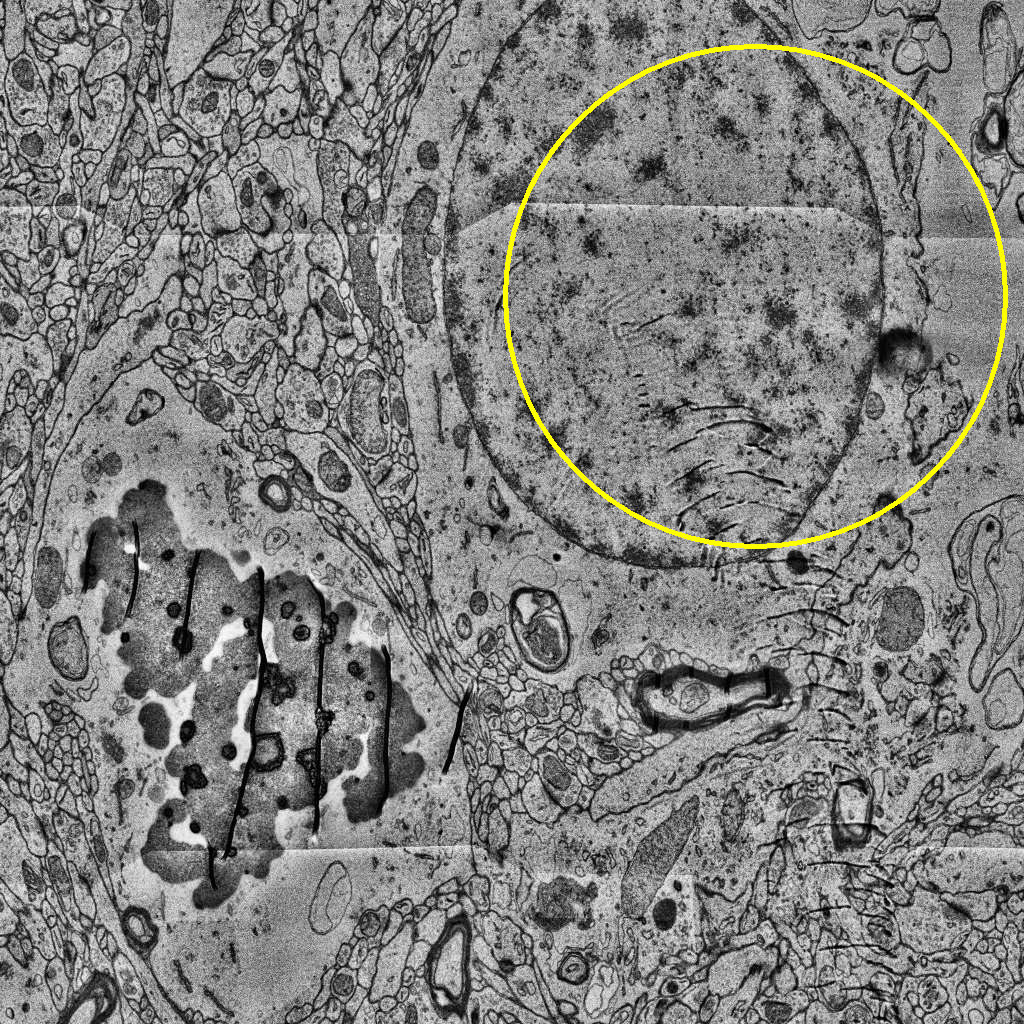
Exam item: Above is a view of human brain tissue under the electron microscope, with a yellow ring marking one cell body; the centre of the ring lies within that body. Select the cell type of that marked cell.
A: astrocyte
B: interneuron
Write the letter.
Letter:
A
